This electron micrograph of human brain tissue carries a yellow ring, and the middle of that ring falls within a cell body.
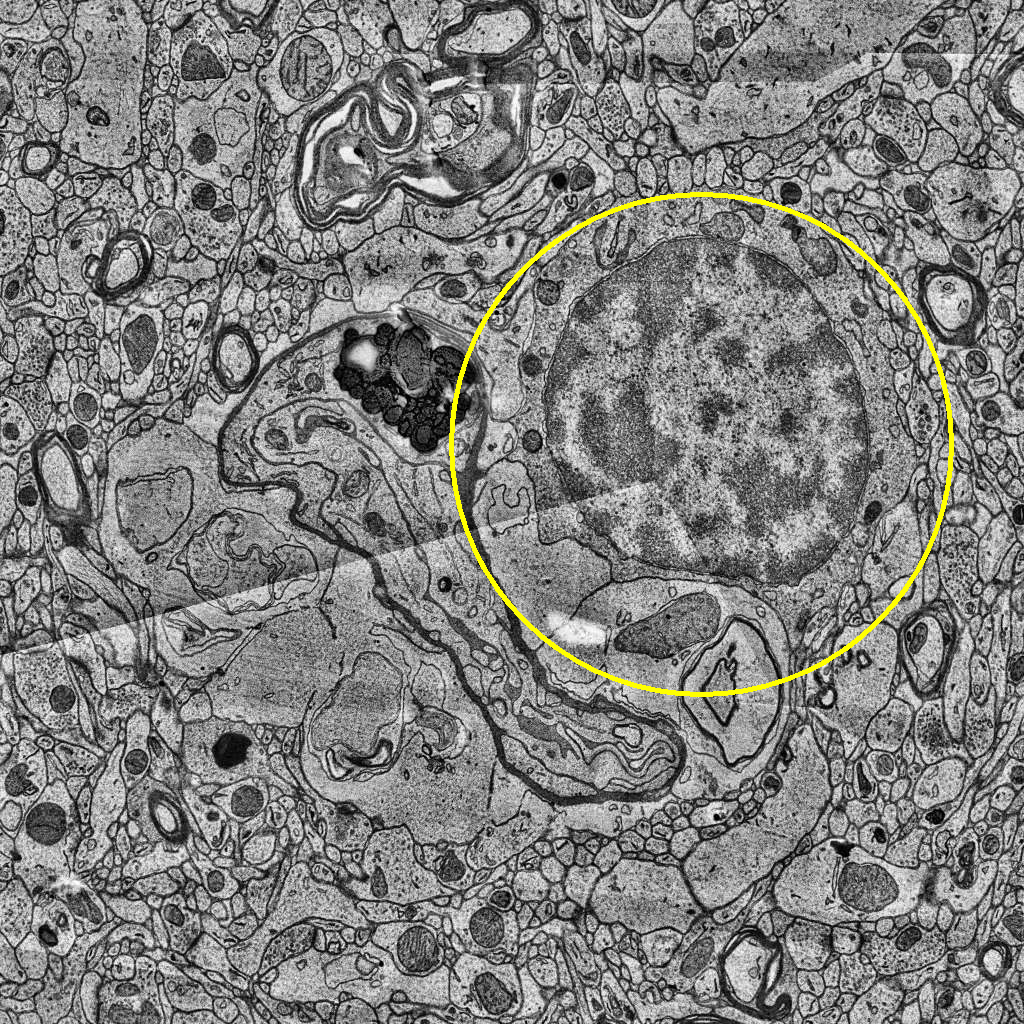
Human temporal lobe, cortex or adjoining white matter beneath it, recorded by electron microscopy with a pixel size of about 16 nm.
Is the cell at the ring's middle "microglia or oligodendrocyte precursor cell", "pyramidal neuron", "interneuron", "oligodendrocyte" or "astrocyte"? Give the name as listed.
oligodendrocyte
